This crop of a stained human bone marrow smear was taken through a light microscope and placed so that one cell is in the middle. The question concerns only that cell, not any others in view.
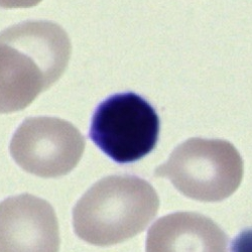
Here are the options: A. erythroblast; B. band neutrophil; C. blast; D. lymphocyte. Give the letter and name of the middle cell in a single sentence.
Option D stands as correct, the central cell being a lymphocyte.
